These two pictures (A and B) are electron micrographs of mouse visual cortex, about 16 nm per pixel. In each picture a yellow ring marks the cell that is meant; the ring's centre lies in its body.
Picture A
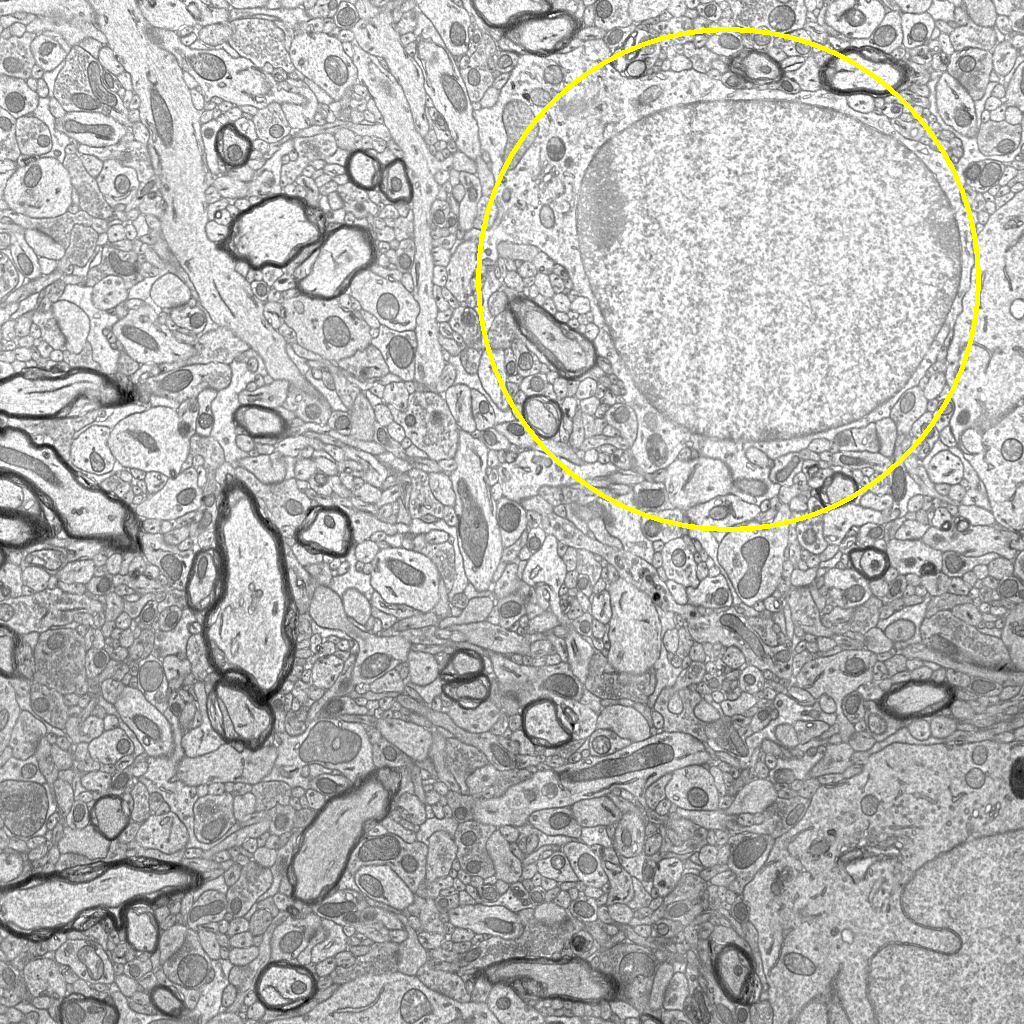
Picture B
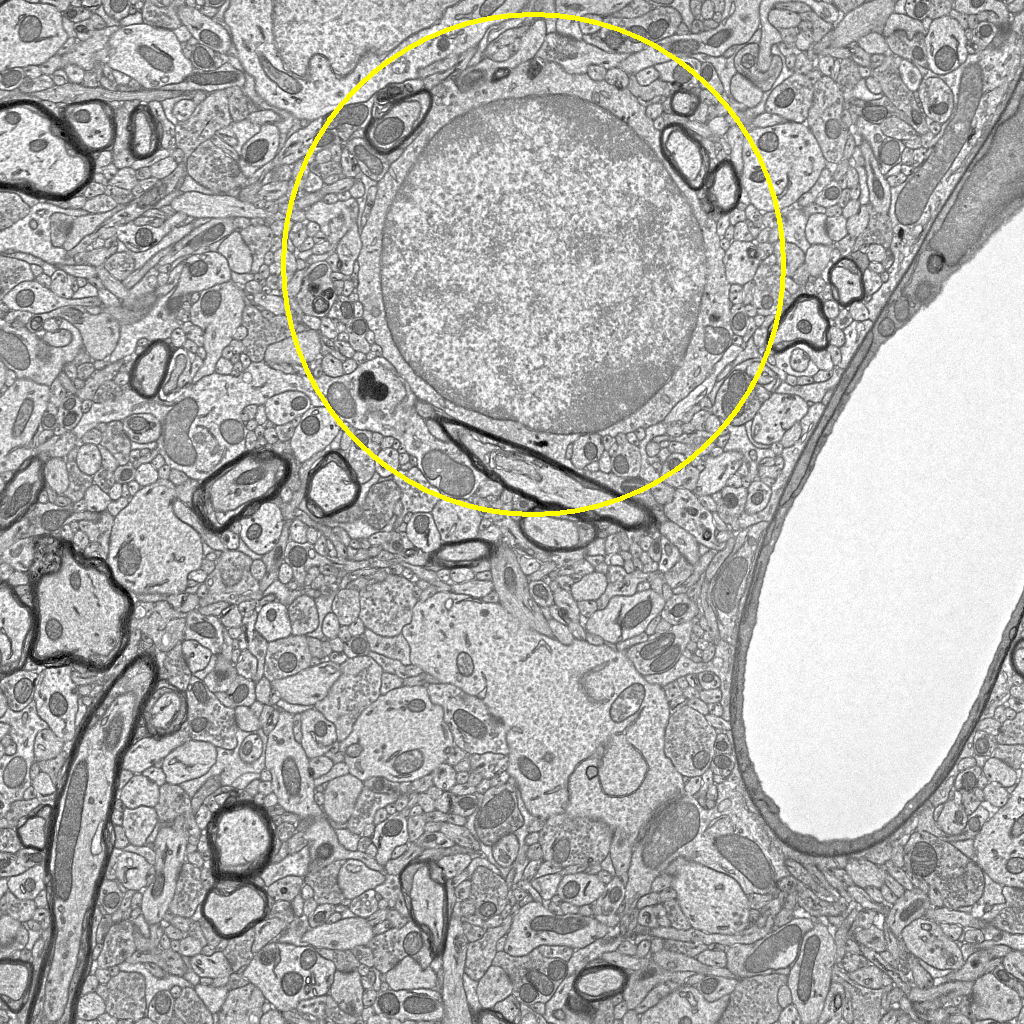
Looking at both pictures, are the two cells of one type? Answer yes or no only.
no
